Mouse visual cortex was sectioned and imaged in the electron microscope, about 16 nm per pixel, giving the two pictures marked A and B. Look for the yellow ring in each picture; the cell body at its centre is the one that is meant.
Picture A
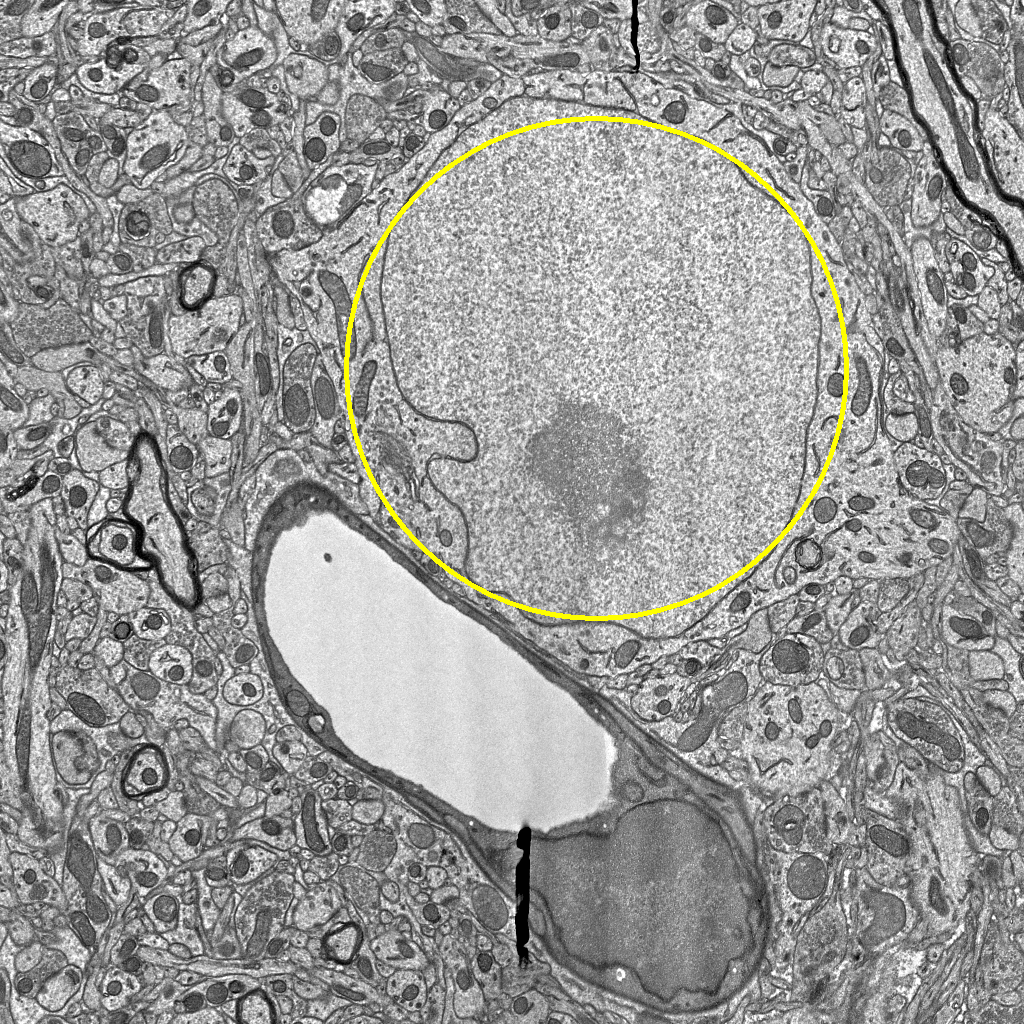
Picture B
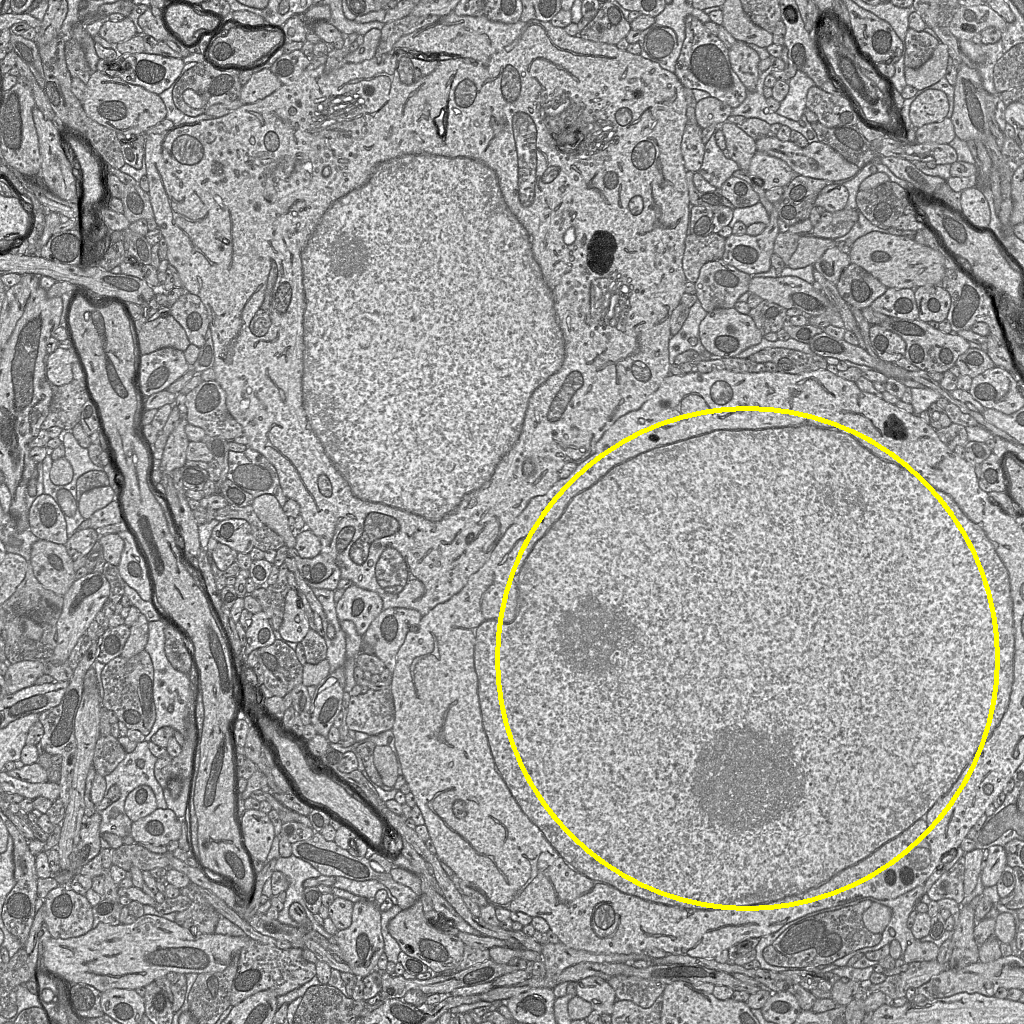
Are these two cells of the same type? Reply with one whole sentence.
Yes, the two pictures both show excitatory neurons.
